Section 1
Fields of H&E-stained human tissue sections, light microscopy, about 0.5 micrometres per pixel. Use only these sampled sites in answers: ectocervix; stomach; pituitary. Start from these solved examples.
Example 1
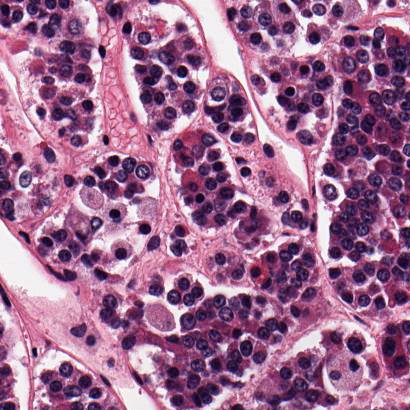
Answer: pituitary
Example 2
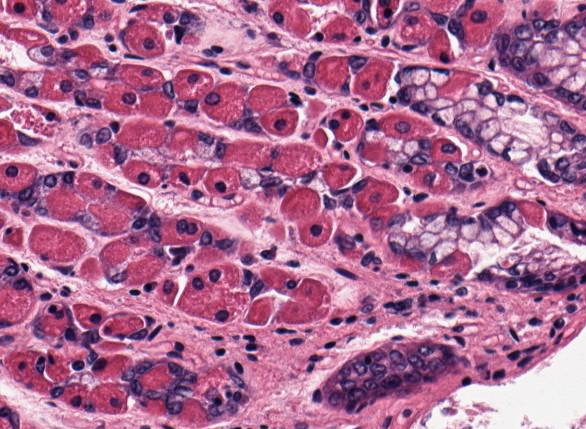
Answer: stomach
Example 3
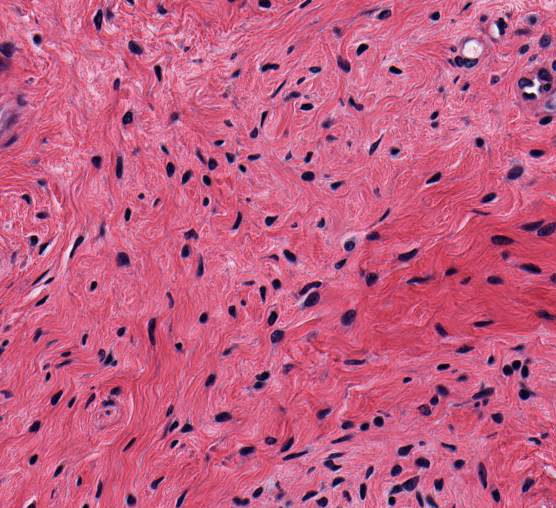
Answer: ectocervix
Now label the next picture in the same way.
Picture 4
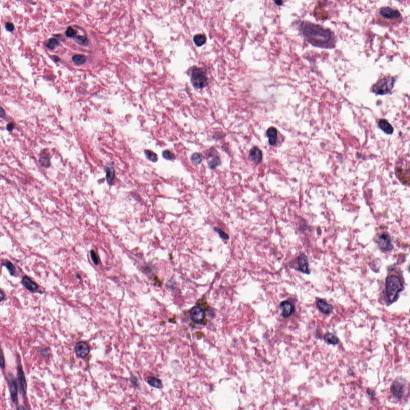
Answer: pituitary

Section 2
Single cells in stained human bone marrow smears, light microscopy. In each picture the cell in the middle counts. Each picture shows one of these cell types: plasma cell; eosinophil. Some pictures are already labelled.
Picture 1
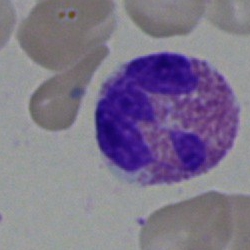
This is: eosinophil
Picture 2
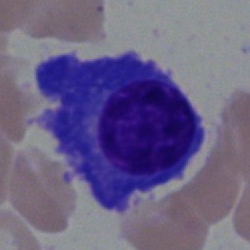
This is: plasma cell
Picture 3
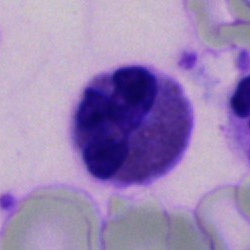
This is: eosinophil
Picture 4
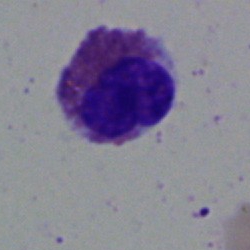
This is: eosinophil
